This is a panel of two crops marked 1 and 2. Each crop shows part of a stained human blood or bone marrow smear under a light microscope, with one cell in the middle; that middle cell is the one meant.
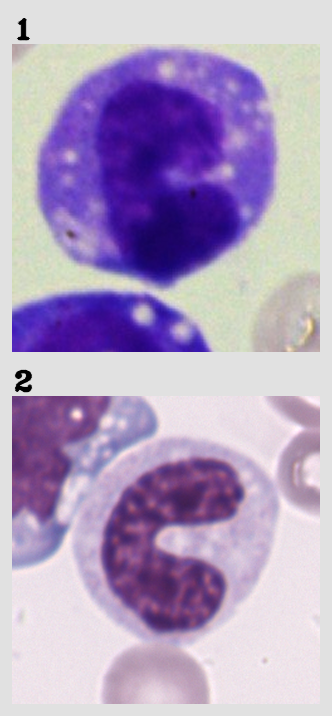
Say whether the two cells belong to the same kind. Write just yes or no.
no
